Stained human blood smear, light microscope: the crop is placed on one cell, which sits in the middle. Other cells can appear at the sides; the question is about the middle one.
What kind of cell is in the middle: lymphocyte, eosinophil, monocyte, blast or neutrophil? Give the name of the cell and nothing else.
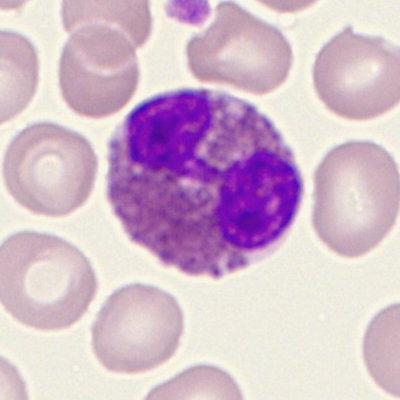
eosinophil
